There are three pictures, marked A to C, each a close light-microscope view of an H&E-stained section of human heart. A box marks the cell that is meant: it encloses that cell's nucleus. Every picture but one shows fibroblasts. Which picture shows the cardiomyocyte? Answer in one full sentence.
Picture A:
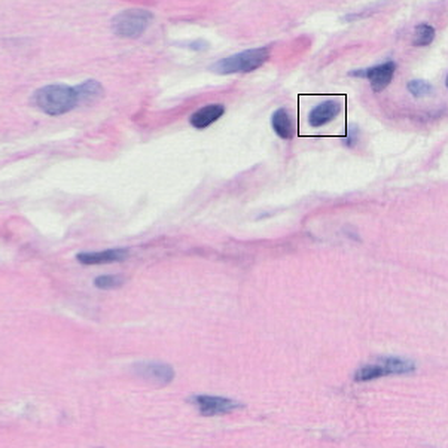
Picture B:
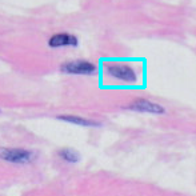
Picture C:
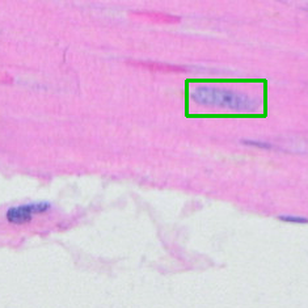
It is picture C that shows the cardiomyocyte.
